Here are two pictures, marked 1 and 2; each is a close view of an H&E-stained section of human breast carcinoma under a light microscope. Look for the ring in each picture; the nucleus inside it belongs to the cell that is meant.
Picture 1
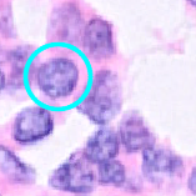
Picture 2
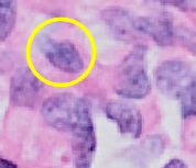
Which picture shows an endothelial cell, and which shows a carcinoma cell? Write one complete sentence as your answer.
The cell in picture 1 is a carcinoma cell, and the one in picture 2 is an endothelial cell.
